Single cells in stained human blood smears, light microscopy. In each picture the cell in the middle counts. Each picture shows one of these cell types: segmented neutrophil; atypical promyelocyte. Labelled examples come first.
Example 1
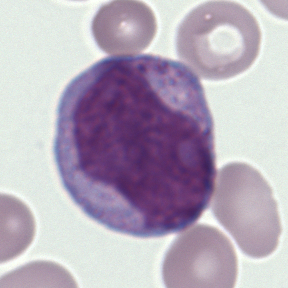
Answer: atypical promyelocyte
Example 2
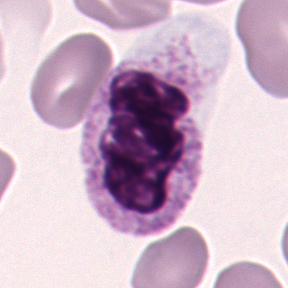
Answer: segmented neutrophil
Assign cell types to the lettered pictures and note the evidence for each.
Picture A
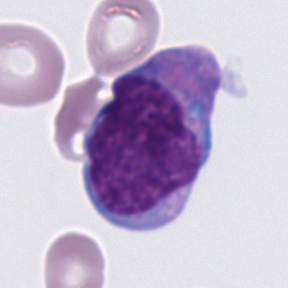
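atypical promyelocyte. Evidence: The nucleus is large and fills most of the cell, sitting toward the lower left.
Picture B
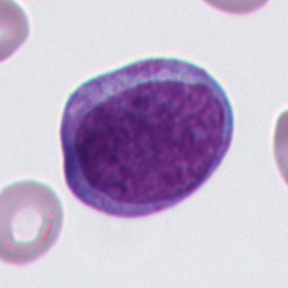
atypical promyelocyte. Evidence: The cytoplasm forms only a narrow rim around the nucleus.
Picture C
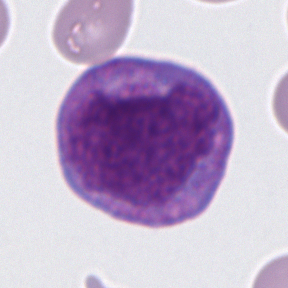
atypical promyelocyte. Evidence: The nucleus fills most of the cell and has a notch in its upper edge.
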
